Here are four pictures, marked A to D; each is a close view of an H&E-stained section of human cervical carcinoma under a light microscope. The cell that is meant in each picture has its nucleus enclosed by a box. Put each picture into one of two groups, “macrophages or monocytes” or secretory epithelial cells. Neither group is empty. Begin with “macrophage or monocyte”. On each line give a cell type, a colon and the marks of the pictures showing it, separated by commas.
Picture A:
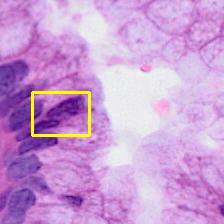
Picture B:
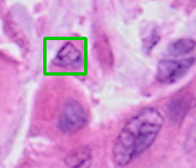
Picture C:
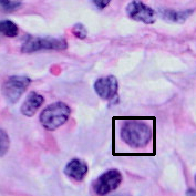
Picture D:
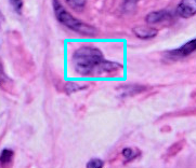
macrophage or monocyte: B, C, D
secretory epithelial cell: A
